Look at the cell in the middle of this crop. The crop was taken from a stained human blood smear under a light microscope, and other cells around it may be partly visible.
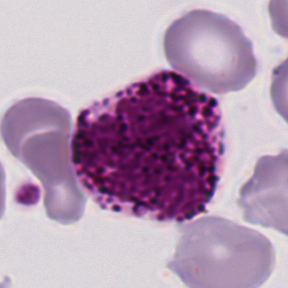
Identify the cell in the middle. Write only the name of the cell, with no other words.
basophil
